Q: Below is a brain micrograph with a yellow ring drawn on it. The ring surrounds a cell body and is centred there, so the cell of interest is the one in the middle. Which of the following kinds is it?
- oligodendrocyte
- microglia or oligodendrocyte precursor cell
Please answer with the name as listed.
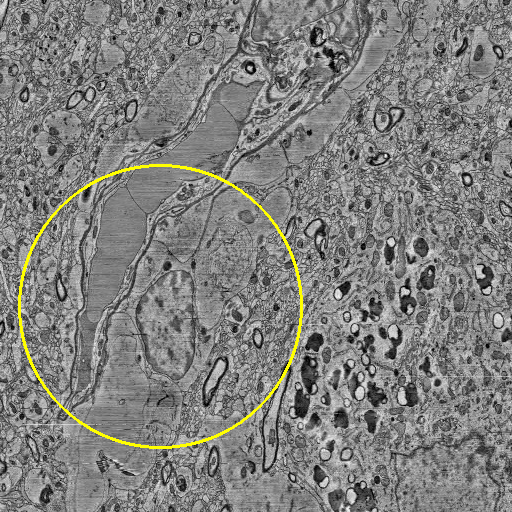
microglia or oligodendrocyte precursor cell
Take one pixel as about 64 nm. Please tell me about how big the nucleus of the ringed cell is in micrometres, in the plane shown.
Roughly 7 by 4 micrometres; in this plane, clearly longer than it is wide.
